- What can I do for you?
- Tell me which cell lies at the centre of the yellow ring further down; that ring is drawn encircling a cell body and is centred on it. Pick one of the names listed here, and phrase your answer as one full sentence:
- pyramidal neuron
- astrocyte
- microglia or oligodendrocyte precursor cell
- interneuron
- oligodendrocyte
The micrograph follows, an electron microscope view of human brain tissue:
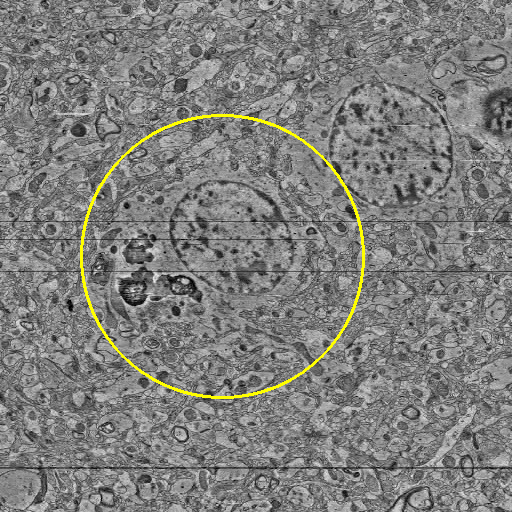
The cell whose body lies at the centre of the yellow ring is an astrocyte.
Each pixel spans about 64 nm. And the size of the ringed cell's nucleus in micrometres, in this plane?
Roughly 8 by 7 micrometres is the size of the nucleus in this plane.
